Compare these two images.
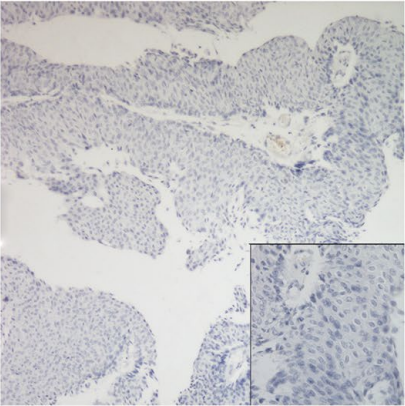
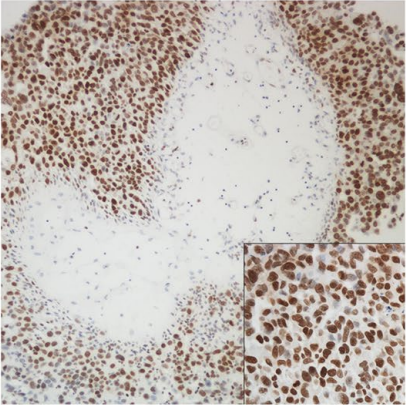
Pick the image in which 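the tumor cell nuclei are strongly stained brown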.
the second image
